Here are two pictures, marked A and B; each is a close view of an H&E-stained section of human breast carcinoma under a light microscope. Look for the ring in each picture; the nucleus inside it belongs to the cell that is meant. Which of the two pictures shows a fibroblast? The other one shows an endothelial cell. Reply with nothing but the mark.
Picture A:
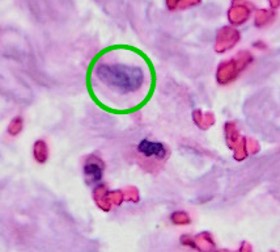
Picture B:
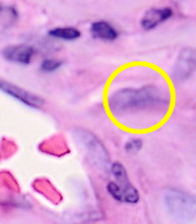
A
